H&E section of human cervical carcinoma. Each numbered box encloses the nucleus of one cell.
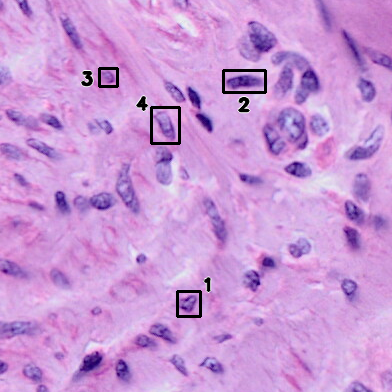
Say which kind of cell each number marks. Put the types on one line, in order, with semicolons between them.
smooth muscle cell; fibroblast; smooth muscle cell; smooth muscle cell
